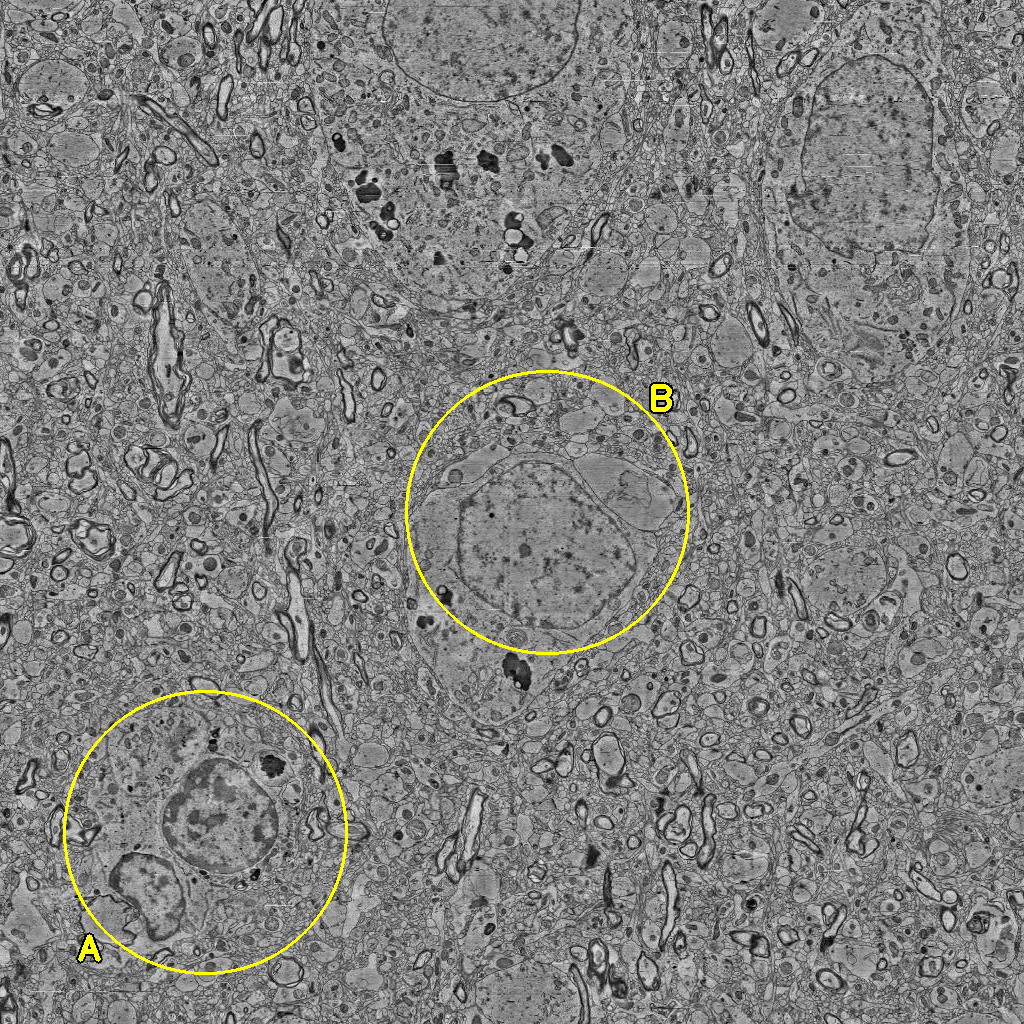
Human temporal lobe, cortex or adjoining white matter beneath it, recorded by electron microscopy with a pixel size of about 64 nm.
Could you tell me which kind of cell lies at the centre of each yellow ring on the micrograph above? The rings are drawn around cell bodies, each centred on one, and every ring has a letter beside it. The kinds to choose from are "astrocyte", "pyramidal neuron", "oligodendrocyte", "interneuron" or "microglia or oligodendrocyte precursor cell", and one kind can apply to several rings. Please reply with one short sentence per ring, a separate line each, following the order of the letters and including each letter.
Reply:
Ring A circles a microglial cell or oligodendrocyte precursor cell.
Ring B circles an interneuron.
